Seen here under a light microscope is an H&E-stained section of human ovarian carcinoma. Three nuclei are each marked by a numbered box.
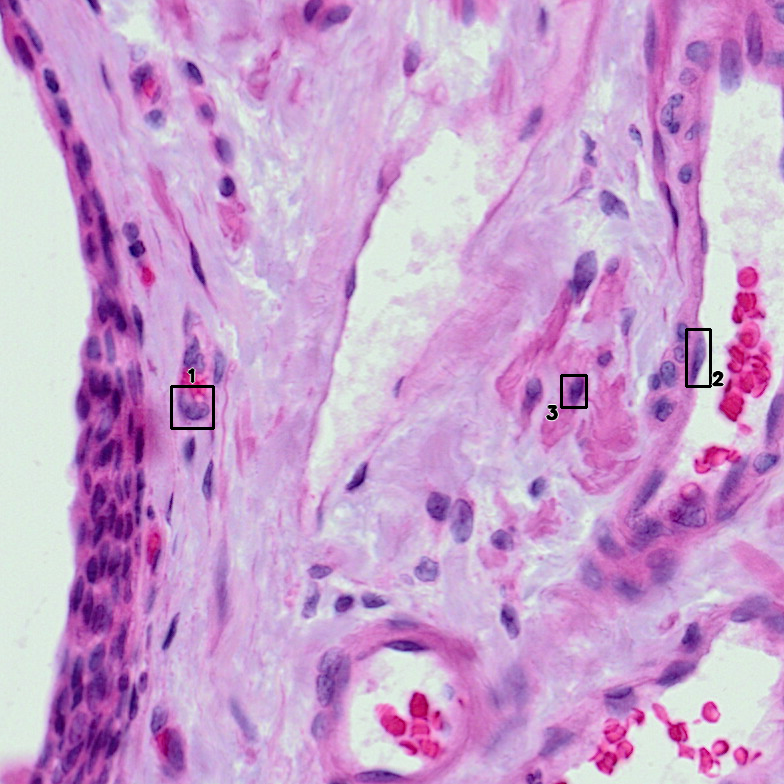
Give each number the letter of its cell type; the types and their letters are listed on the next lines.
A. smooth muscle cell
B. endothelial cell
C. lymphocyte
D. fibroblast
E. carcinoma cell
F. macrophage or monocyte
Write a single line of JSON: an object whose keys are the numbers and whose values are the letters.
{"1": "B", "2": "B", "3": "A"}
